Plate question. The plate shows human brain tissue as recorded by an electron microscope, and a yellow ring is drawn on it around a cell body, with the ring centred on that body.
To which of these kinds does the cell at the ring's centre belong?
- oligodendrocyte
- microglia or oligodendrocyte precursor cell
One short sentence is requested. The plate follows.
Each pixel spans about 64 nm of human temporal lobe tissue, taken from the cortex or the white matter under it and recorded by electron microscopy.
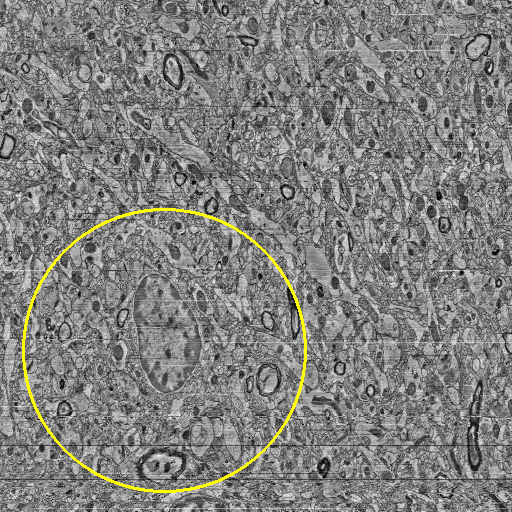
The cell at the ring's centre is a microglial cell or oligodendrocyte precursor cell.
